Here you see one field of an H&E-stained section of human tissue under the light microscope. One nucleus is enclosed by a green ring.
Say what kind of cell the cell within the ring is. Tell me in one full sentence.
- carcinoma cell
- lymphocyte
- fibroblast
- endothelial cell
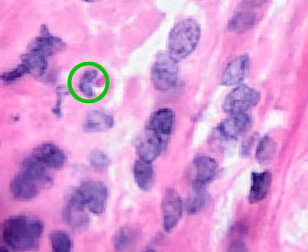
In the tissue at hand, the cell within the ring is an endothelial cell.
